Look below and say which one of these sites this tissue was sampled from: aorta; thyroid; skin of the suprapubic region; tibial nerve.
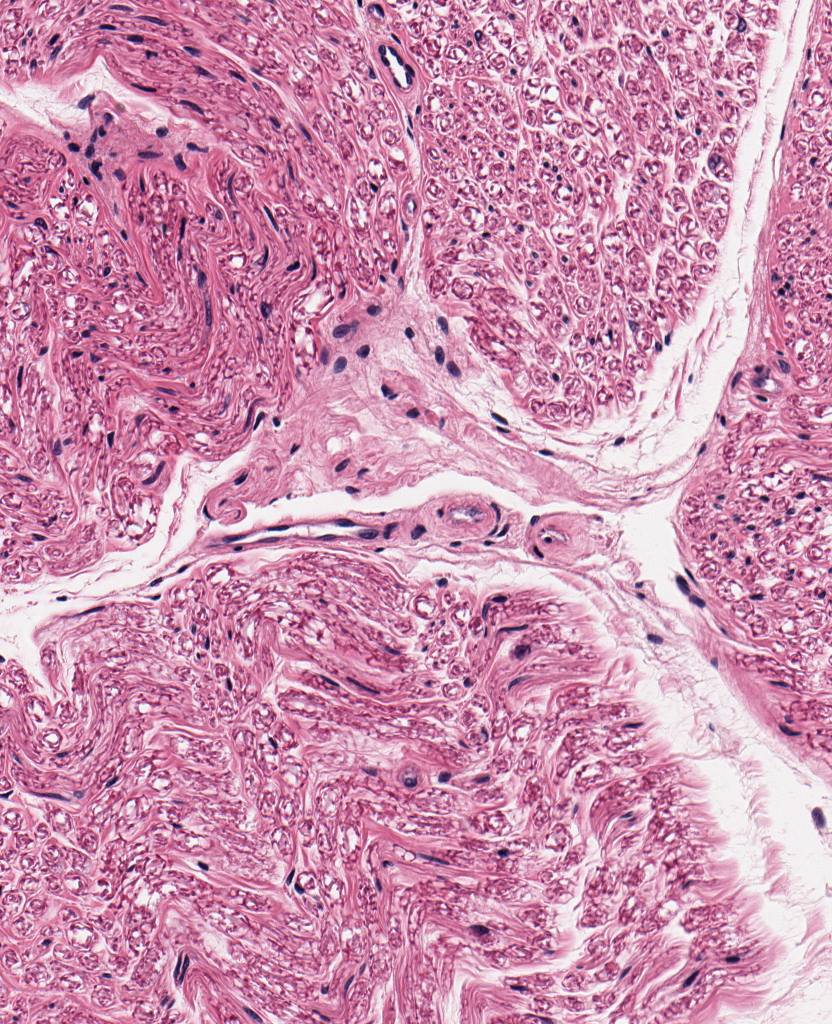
tibial nerve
